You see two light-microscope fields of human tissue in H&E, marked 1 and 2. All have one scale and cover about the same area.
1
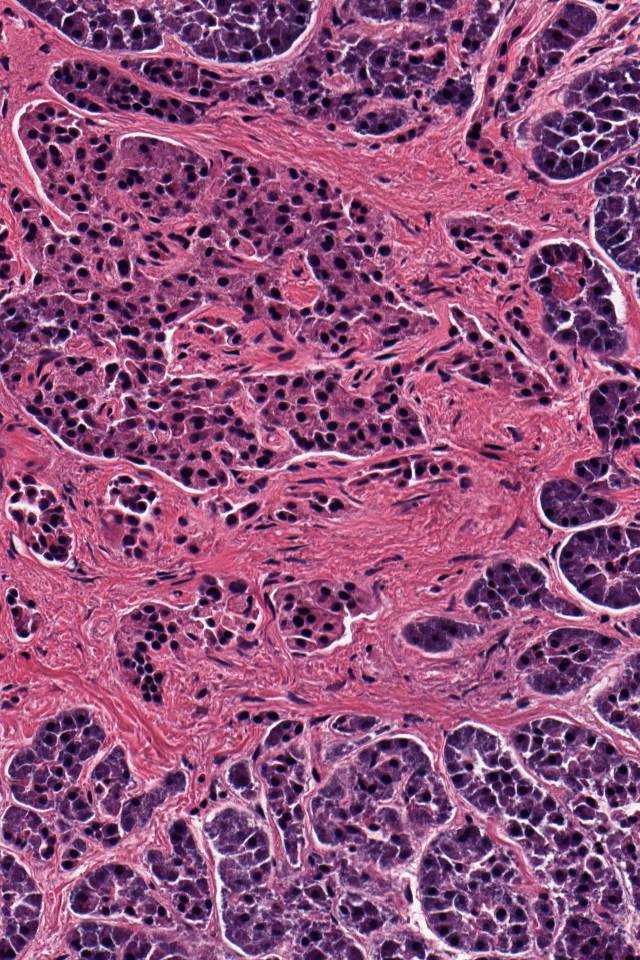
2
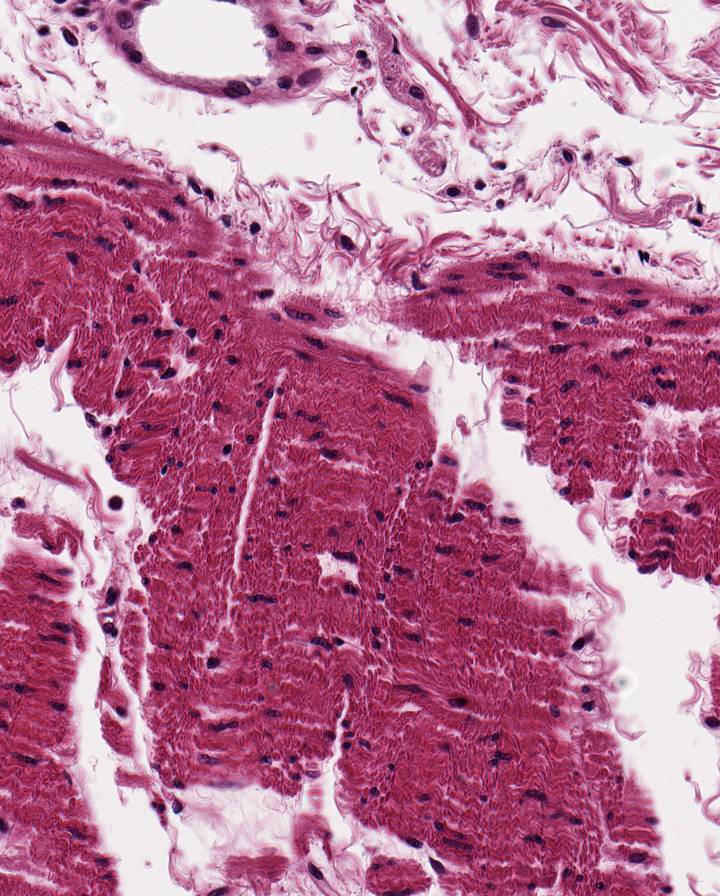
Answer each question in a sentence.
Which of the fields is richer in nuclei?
It is picture 1 that has more nuclei in it.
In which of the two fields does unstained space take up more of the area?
More of picture 2 is empty and white.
